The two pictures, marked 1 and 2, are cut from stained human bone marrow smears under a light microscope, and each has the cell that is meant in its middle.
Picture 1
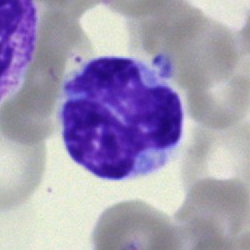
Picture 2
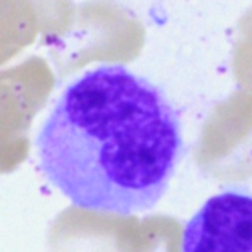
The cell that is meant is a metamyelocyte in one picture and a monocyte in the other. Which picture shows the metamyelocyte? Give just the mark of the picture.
2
